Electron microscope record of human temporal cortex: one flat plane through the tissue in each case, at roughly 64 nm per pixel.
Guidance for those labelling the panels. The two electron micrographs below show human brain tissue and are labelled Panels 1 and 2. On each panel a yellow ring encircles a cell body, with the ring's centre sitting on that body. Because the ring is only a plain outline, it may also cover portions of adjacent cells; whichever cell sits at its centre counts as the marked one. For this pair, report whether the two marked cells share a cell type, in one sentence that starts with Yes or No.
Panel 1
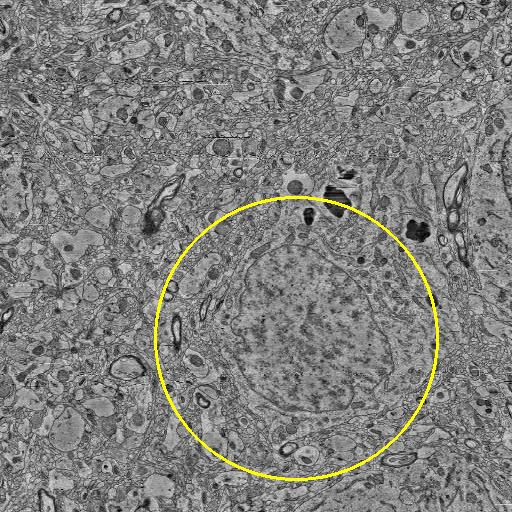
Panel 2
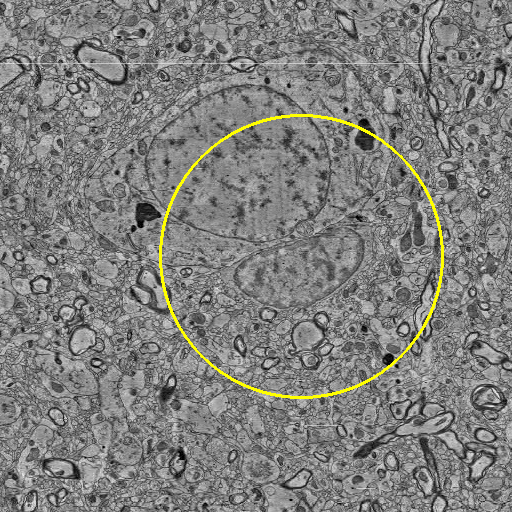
No, in Panel 1 and Panel 2 the marked cells at the ring centres are of two types.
